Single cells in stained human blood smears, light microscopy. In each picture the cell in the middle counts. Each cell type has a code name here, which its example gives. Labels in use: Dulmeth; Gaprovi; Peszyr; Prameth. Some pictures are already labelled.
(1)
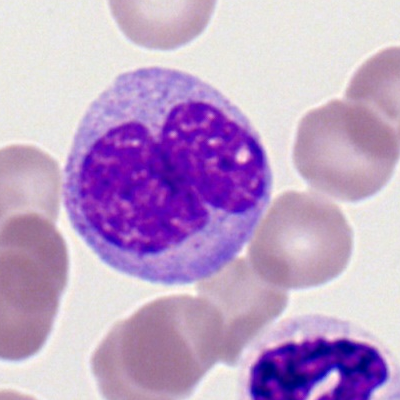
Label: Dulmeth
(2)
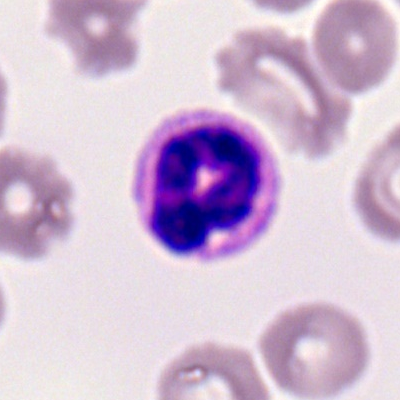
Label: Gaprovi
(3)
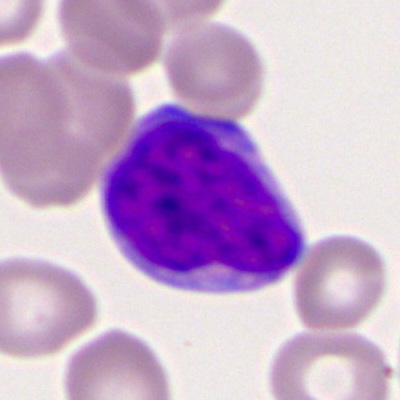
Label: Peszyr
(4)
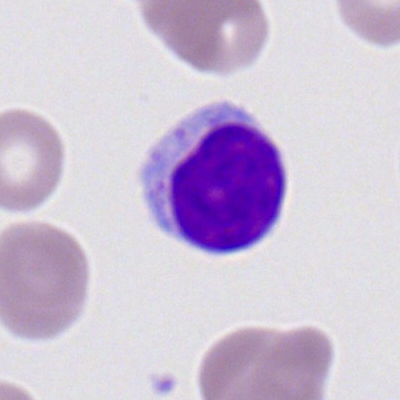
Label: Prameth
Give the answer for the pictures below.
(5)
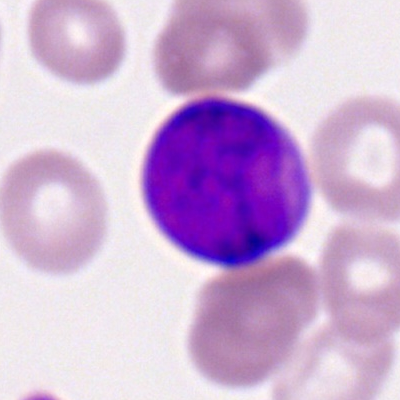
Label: Peszyr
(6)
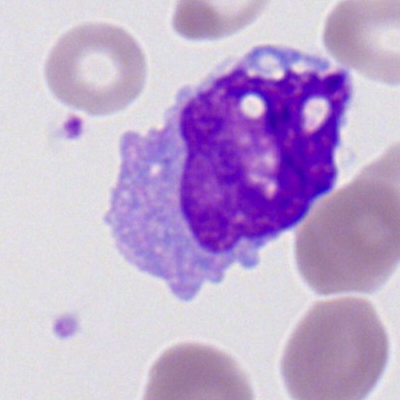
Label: Dulmeth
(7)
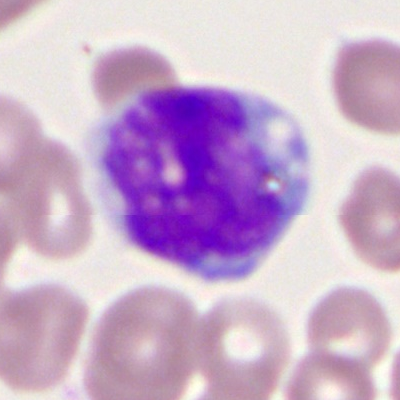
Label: Dulmeth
